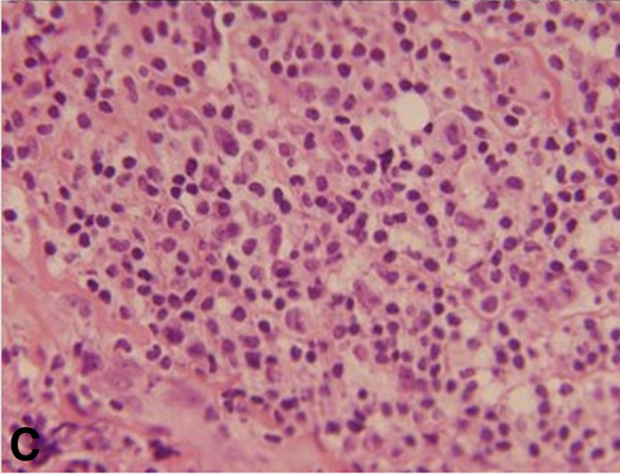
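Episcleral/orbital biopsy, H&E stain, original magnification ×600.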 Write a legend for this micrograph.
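A dense sheet of mixed chronic inflammatory cells fills the field, with lymphocytes, plasma cells and macrophages lying intermingled. The lymphocytes are small round cells with dark, round nuclei and scant cytoplasm. Plasma cells show eccentric nuclei with pink cytoplasm, while larger cells with abundant pale cytoplasm and oval nuclei are scattered between them. A few clear round spaces and strands of pink connective tissue lie among the cells.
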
